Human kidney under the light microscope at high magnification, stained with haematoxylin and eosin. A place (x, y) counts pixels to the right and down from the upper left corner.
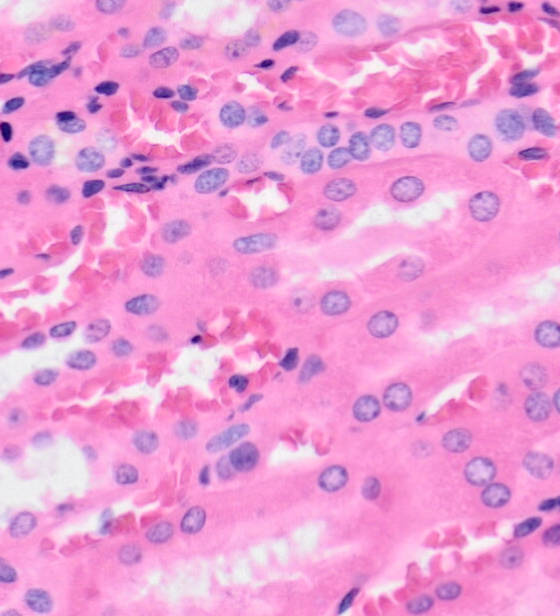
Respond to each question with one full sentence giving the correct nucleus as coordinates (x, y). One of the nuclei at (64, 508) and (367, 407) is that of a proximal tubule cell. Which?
It is at (367, 407) that the nucleus of a proximal tubule cell is found.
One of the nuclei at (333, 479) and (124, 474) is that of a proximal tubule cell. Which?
It is the nucleus at (333, 479), not the other one, that belongs to a proximal tubule cell.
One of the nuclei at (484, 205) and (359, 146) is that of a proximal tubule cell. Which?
In this pair, the nucleus at (484, 205) belongs to a proximal tubule cell.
